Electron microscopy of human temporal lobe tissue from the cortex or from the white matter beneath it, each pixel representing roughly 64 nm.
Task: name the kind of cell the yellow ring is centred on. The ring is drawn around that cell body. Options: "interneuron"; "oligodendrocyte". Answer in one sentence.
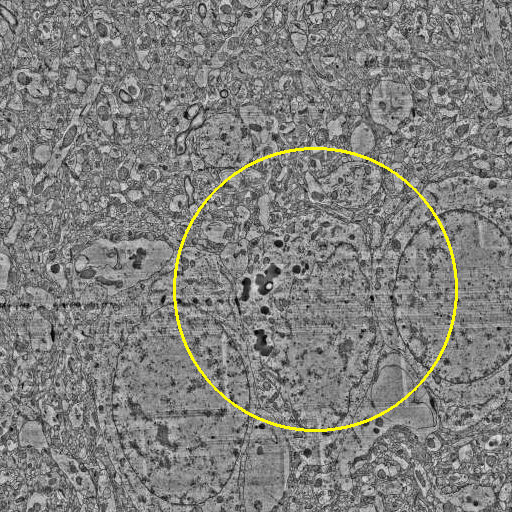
This cell body belongs to an interneuron.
